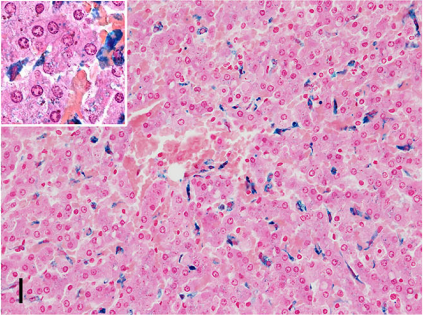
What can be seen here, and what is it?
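This is liver with plates of hepatocytes, pale pink polygonal cells with round central nuclei and visible nucleoli, separated by narrow sinusoids. Most hepatocytes are free of blue pigment, though the odd one carries a little within its cytoplasm.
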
